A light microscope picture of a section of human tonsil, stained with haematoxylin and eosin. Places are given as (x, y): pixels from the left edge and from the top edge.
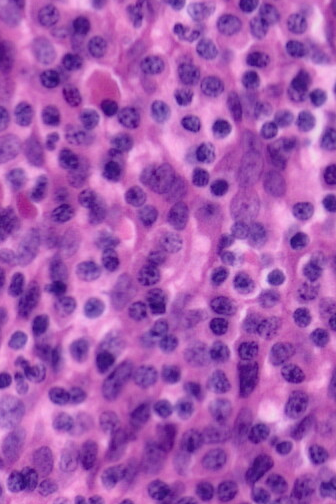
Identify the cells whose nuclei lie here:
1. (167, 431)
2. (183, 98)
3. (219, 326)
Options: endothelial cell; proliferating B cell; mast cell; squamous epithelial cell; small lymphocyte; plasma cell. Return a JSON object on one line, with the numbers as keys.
{"1": "squamous epithelial cell", "2": "plasma cell", "3": "plasma cell"}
